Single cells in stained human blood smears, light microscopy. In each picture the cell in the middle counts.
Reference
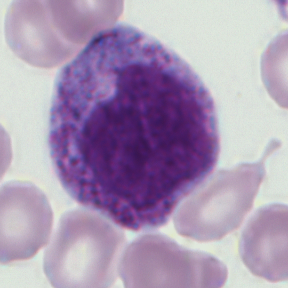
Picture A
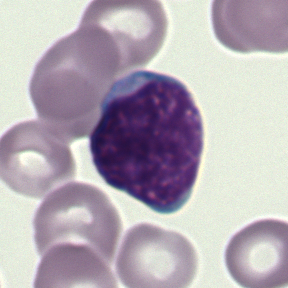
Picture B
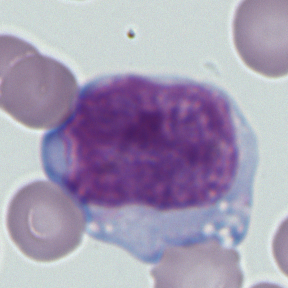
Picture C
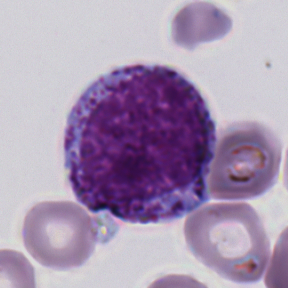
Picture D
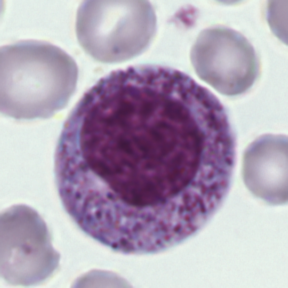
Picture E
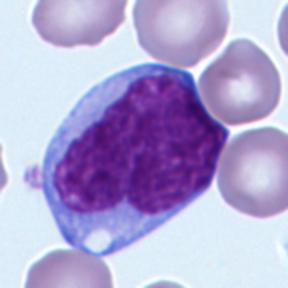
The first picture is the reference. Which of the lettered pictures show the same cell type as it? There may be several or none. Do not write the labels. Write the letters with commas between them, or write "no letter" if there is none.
C, D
